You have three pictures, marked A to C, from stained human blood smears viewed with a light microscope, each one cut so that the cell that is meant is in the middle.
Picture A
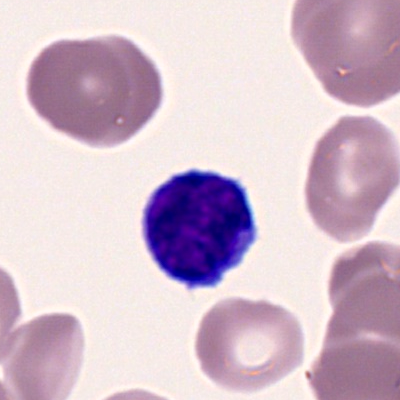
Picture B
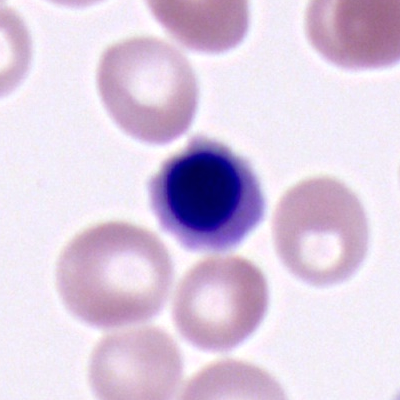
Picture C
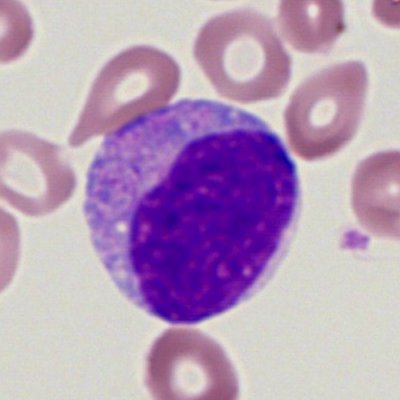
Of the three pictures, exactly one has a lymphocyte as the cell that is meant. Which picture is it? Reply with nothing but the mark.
A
